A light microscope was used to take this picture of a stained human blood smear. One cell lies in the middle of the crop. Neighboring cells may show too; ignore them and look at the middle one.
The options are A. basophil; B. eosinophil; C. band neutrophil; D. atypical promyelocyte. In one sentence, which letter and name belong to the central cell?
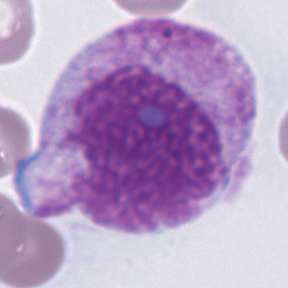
Option D is the correct one; it names the central cell as an atypical promyelocyte.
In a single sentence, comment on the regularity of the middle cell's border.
Its surface contour departs from smoothness through ragged edges or outward projections.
